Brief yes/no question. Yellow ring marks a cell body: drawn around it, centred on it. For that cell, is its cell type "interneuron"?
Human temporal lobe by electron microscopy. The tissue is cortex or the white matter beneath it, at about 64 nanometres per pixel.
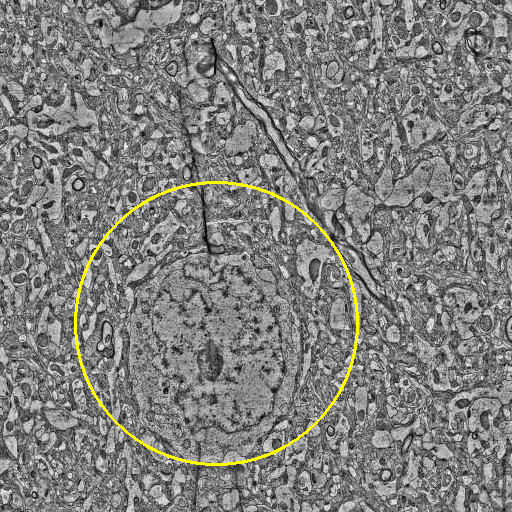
Yes, that is the cell type.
